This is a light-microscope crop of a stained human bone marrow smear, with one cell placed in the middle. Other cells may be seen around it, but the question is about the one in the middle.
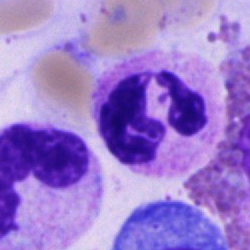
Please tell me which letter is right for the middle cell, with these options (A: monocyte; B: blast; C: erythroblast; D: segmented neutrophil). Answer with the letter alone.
D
